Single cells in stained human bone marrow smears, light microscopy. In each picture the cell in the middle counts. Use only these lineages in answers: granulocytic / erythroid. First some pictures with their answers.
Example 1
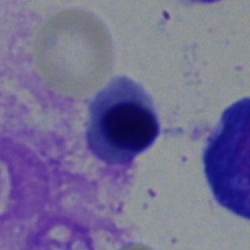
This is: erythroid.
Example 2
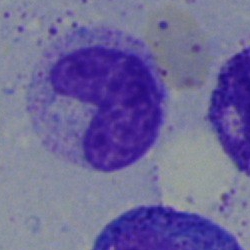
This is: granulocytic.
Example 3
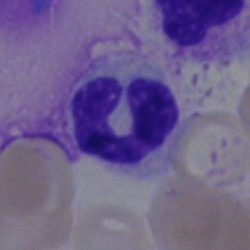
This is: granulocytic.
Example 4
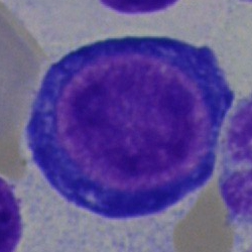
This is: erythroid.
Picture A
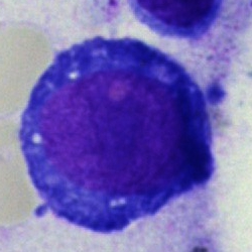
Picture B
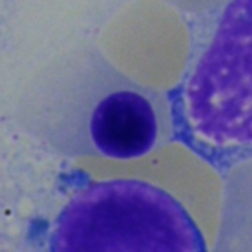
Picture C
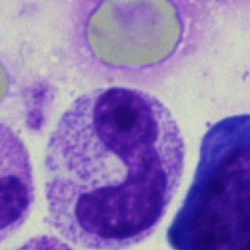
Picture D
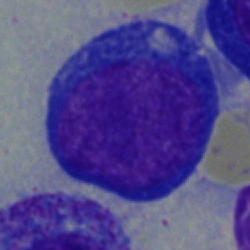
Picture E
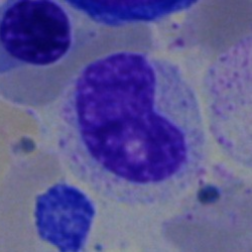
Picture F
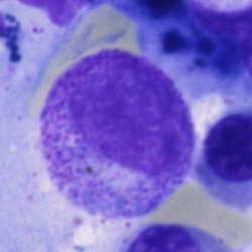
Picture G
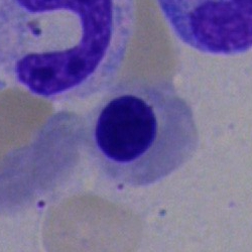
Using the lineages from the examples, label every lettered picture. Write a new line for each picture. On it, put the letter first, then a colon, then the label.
A: erythroid.
B: erythroid.
C: granulocytic.
D: erythroid.
E: granulocytic.
F: granulocytic.
G: erythroid.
